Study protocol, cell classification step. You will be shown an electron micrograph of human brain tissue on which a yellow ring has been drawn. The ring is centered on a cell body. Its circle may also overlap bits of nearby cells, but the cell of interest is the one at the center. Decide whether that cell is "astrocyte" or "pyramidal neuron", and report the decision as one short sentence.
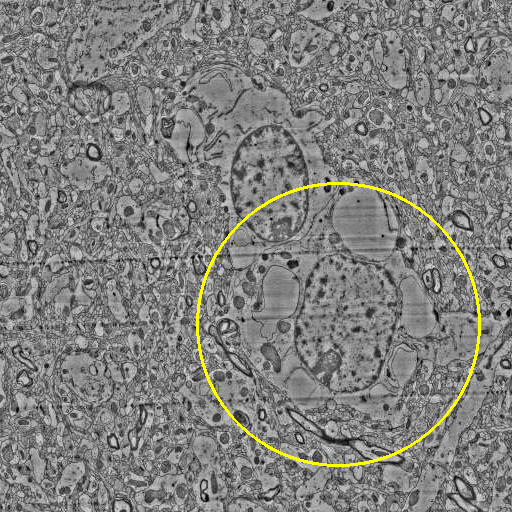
The marked cell is an astrocyte.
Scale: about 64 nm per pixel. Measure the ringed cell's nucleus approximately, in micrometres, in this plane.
Roughly 9 micrometres by 7 micrometres, in this plane.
